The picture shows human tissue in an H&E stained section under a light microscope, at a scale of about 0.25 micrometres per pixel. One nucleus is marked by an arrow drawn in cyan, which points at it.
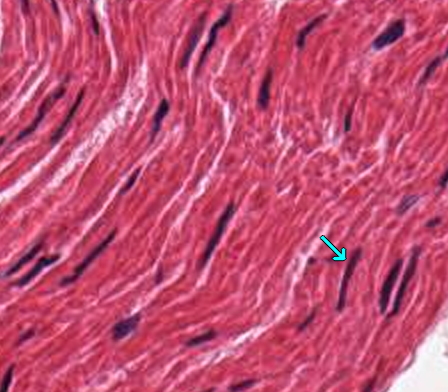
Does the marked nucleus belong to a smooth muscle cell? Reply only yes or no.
yes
